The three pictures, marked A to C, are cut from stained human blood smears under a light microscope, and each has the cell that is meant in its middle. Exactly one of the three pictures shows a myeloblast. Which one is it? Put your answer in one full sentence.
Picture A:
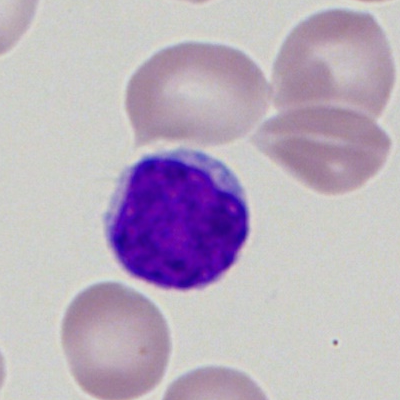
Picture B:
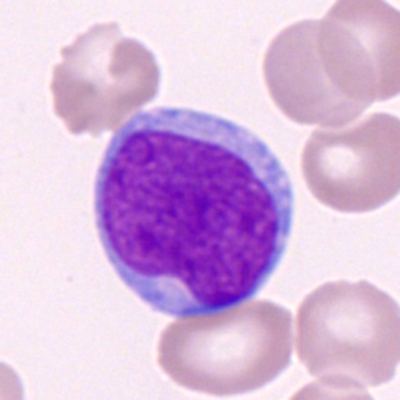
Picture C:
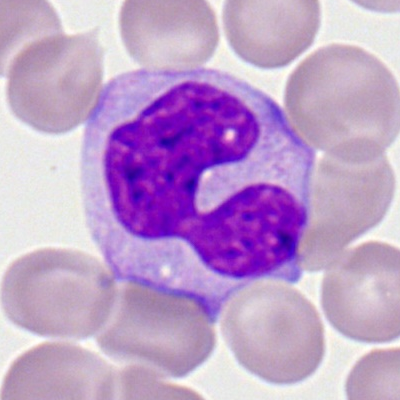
The picture with the myeloblast is B.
